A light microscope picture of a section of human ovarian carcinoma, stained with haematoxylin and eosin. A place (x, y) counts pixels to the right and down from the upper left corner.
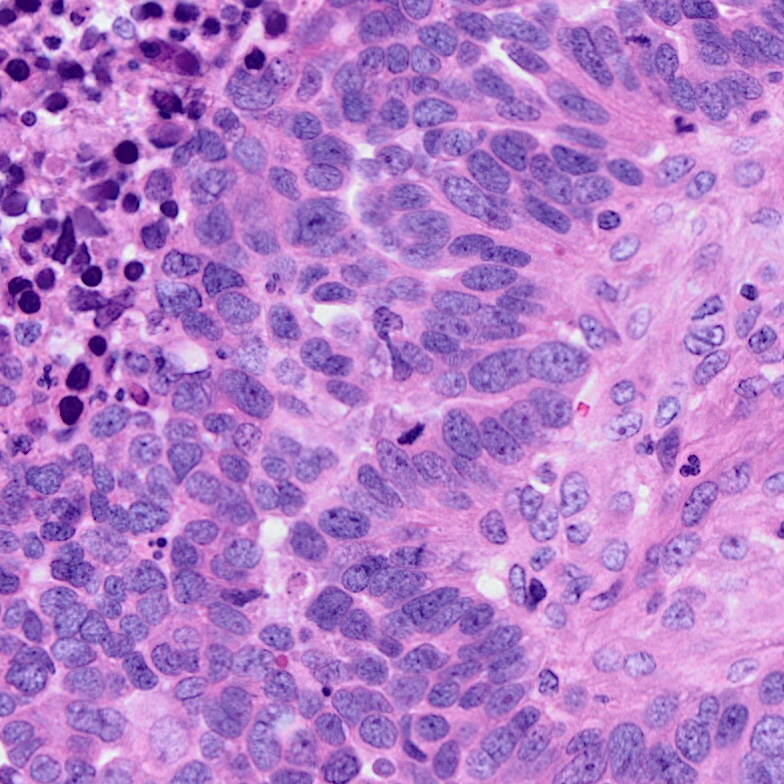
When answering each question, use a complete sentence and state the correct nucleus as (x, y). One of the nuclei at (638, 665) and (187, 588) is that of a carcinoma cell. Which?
Of these two nuclei, it is the one at (187, 588) that belongs to a carcinoma cell.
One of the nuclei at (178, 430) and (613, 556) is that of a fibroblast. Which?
The nucleus contained in a fibroblast is the one at (613, 556).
